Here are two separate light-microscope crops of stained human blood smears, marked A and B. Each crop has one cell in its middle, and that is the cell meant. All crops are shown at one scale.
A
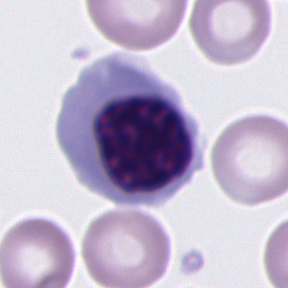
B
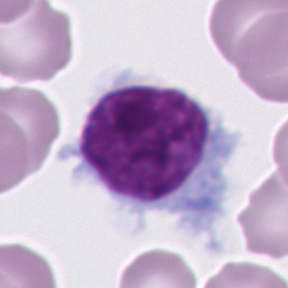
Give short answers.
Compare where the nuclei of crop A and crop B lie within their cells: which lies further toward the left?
B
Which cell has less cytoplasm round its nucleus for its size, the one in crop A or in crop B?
B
